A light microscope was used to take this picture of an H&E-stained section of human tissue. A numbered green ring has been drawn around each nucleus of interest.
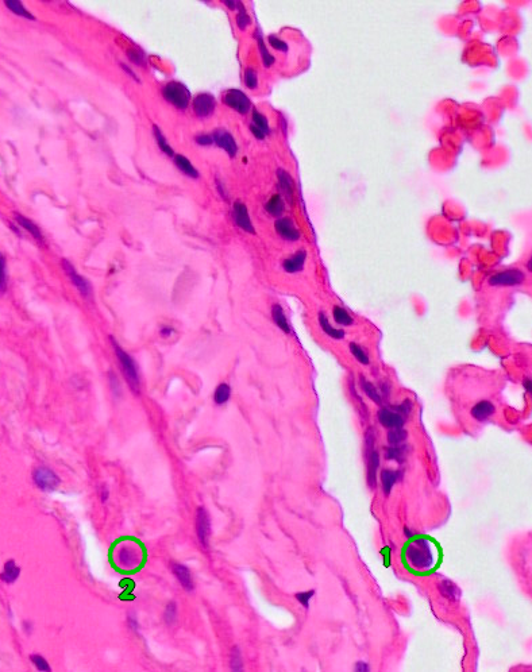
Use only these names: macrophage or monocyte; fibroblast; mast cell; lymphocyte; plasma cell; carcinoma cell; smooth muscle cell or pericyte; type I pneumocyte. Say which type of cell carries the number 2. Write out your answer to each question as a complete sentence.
Here, the cell given the number 2 is a smooth muscle cell or pericyte.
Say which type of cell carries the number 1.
The cell indicated by marker 1 is a type I pneumocyte in this section.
